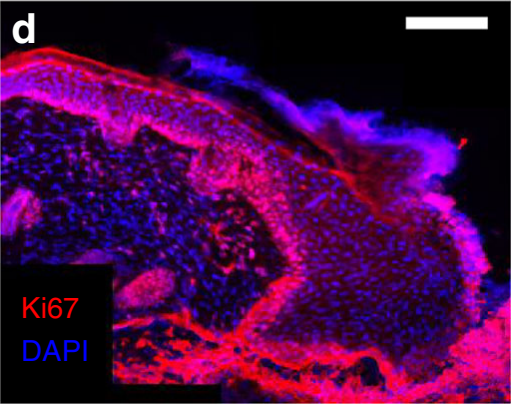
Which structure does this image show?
epithelial tongue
